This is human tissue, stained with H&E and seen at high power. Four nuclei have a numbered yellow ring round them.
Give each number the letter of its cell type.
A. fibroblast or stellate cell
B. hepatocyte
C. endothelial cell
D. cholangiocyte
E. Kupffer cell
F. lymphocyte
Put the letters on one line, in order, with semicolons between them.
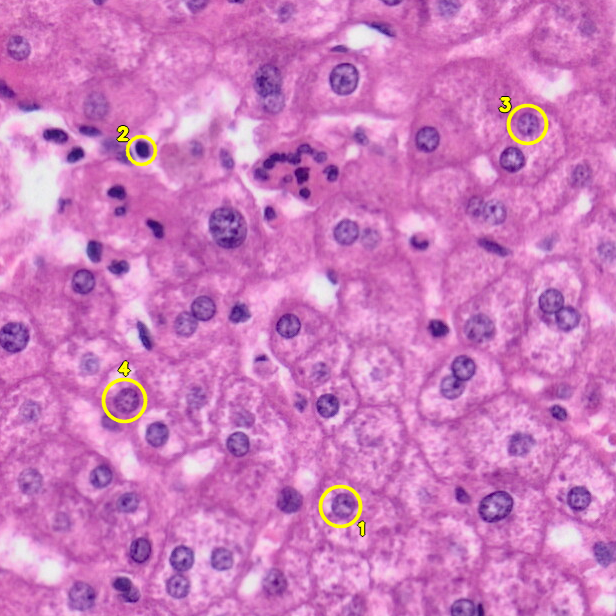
B; F; B; B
